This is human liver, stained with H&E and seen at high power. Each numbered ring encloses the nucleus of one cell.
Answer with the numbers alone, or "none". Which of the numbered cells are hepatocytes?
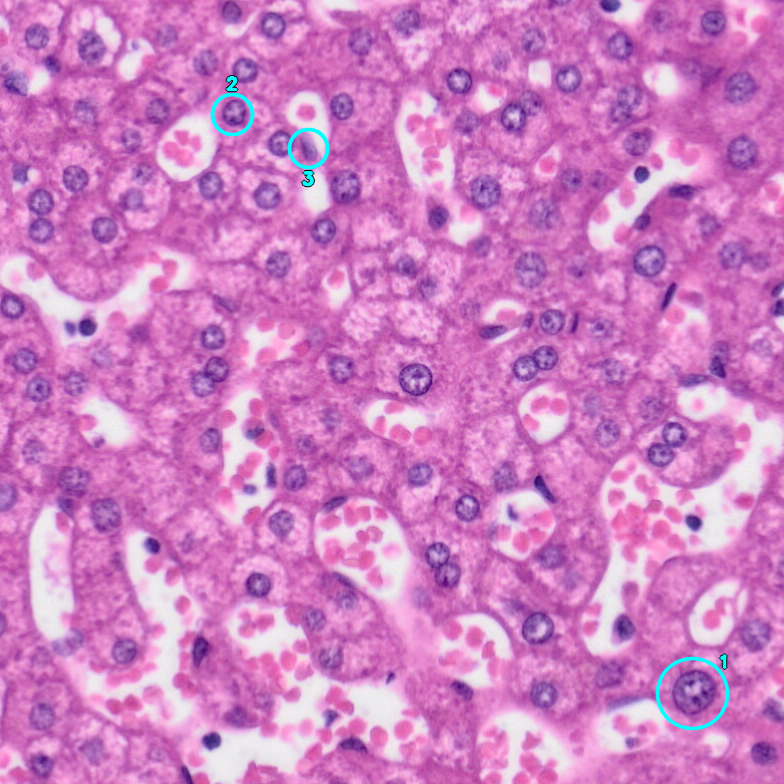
1, 2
